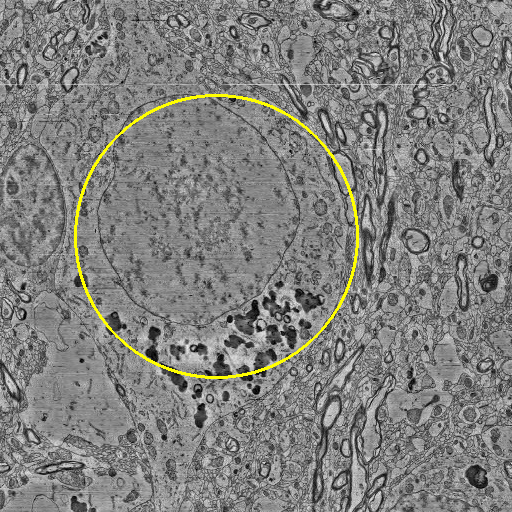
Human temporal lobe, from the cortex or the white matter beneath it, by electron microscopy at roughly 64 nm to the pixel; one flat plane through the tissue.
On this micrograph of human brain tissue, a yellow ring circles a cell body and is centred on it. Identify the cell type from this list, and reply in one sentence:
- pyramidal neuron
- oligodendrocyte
The cell at the centre is a pyramidal neuron.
